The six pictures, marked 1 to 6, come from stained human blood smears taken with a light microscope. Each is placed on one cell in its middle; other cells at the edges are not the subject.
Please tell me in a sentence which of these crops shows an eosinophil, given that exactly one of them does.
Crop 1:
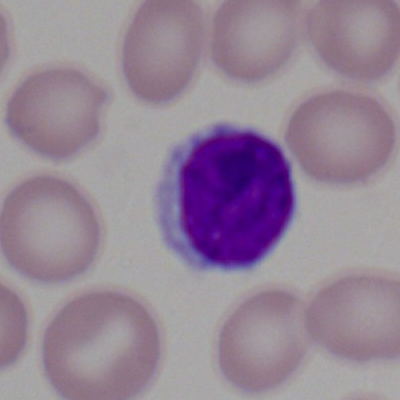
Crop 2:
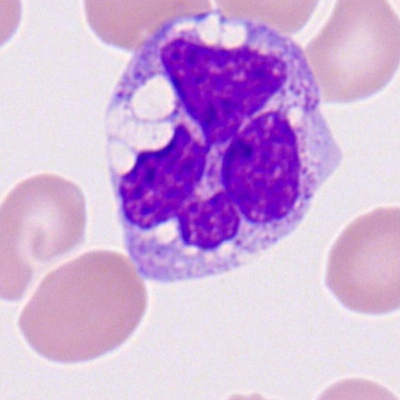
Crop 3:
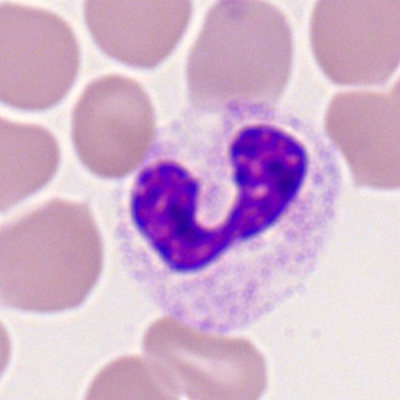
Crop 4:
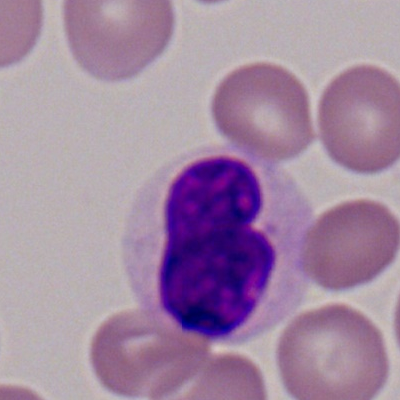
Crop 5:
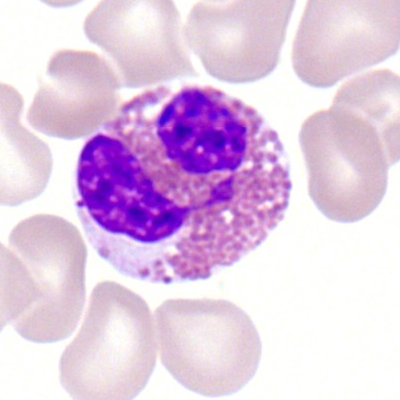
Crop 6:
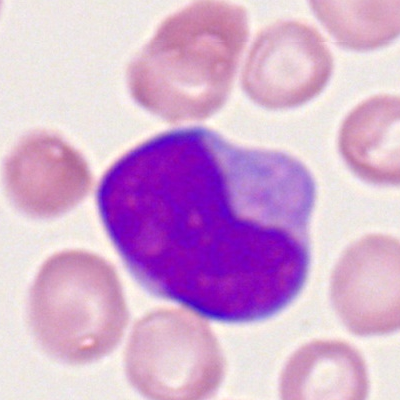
The one that shows an eosinophil is crop 5.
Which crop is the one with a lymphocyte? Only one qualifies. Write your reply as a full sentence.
In the set of crops, crop 1 is the one that contains a lymphocyte.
